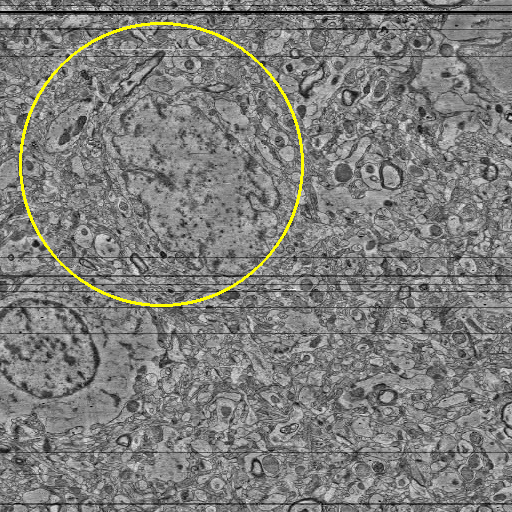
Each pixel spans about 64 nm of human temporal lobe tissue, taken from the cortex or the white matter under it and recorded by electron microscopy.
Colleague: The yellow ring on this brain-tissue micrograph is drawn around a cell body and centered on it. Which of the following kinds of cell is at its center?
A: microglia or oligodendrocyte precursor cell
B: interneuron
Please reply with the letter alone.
B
